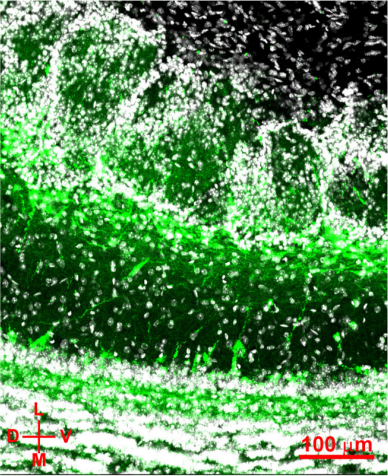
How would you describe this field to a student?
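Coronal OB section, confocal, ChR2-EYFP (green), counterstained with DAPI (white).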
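This view through the olfactory bulb shows its layers from the surface inward. At the top, the olfactory nerve layer holds loosely scattered, elongated nuclei. Below it, the glomerular layer consists of rounded glomeruli, each a neuropil ball filled with green fibres and rimmed by densely packed white nuclei. Beneath this lies the external plexiform layer, a broad zone with few nuclei, crossed by green processes. Its superficial edge carries a bright green band of labelled cell bodies. Deeper, a thin layer of nuclei and a bright green fibre band separate it from the granule cell layer, which is crowded with white nuclei.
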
